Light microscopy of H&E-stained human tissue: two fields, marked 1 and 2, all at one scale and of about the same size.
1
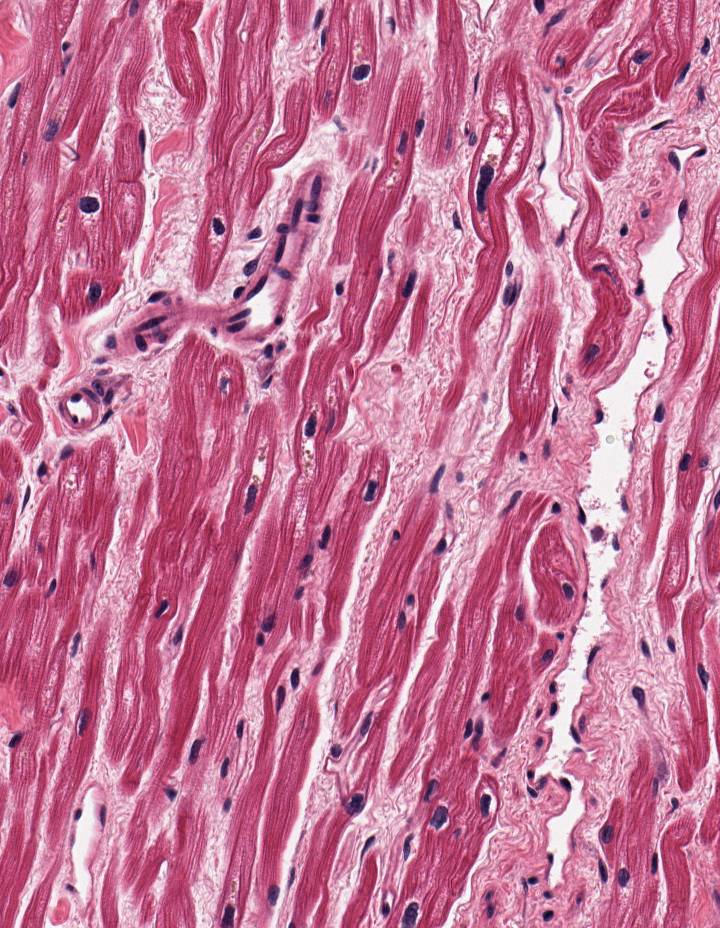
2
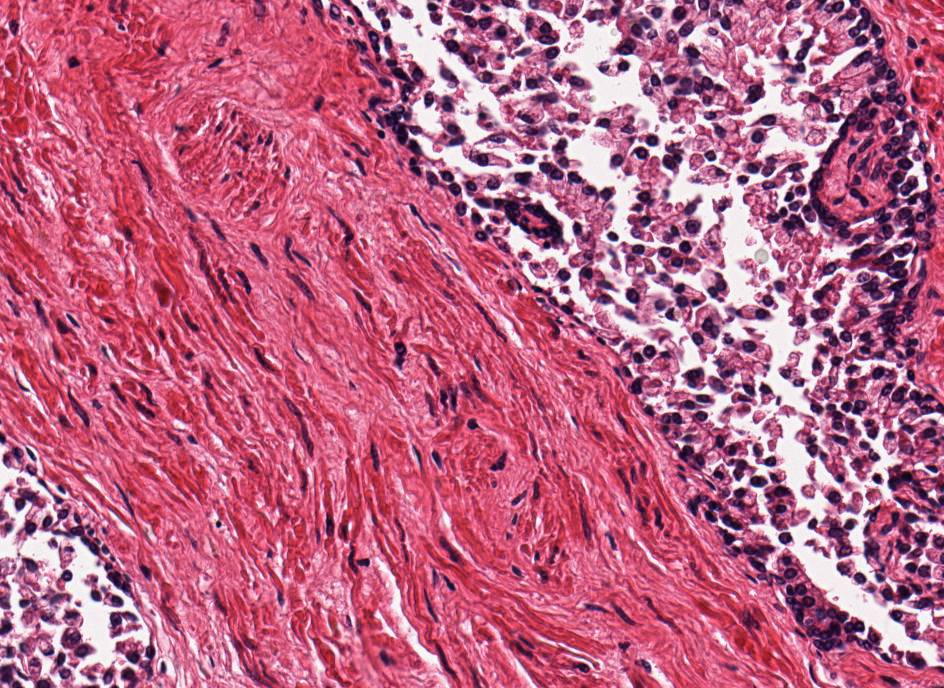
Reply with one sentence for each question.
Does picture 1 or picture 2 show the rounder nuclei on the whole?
The nuclei are rounder in picture 2.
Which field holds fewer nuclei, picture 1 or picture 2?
The smaller number of nuclei is in picture 1.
